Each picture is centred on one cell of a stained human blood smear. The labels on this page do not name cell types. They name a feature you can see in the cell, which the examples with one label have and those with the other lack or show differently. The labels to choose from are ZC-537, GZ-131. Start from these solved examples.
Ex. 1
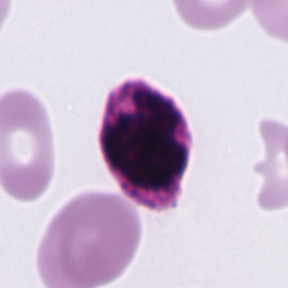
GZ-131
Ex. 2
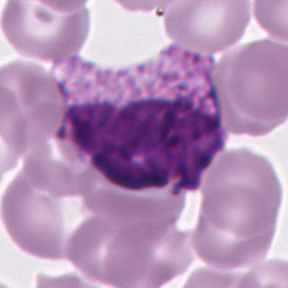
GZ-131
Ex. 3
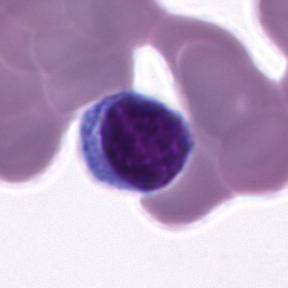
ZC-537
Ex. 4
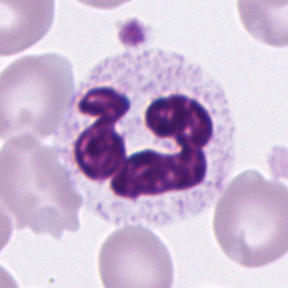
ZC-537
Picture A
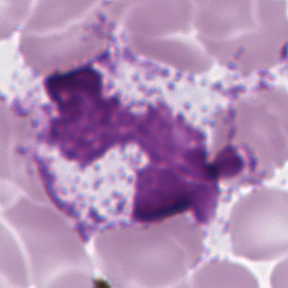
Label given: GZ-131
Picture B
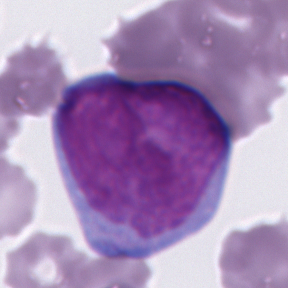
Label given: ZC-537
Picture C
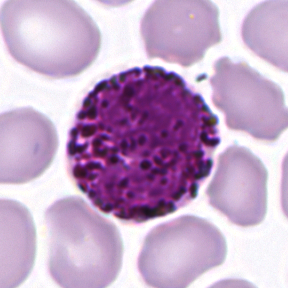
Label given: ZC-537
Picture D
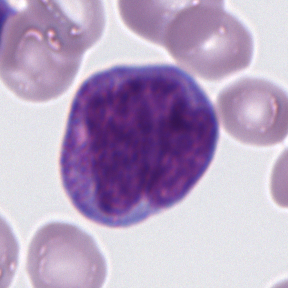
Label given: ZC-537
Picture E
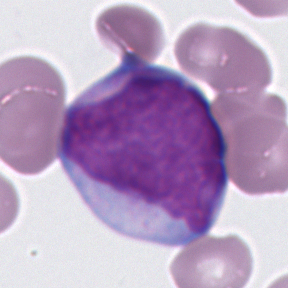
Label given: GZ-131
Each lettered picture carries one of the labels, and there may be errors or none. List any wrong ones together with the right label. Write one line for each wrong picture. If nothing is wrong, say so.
No label is wrong.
